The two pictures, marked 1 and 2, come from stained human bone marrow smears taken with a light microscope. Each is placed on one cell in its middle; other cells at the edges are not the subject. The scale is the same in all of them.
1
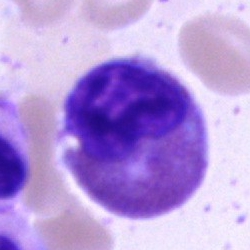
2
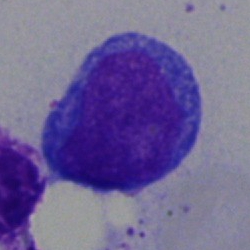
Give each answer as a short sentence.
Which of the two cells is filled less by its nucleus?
It is the cell in crop 1 that is filled less by its nucleus.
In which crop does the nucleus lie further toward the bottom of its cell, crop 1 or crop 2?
In crop 2 the nucleus is shifted more toward the bottom.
